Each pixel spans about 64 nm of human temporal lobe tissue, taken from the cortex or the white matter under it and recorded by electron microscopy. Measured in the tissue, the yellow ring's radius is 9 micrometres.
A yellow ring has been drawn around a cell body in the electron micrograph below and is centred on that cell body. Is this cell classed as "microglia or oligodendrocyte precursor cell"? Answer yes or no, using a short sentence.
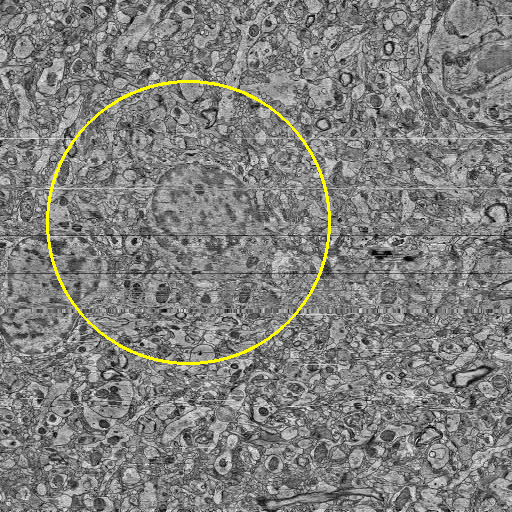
No, it is classed as another kind.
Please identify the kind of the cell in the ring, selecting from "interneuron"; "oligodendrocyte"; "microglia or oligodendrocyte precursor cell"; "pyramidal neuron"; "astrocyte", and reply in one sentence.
The cell at the ring centre is an oligodendrocyte.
